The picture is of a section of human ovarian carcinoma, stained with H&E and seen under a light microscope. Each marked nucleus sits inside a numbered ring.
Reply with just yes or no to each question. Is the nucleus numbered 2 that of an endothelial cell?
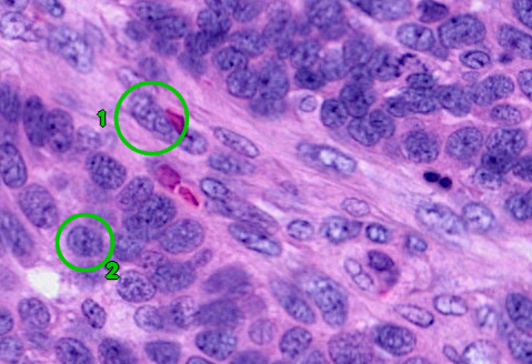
no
